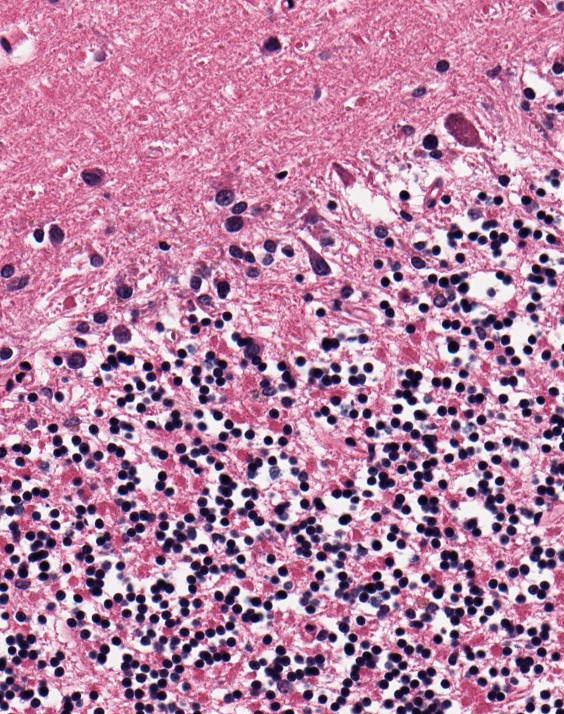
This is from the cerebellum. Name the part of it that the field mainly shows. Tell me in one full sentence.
This tissue part goes by the name granular layer.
